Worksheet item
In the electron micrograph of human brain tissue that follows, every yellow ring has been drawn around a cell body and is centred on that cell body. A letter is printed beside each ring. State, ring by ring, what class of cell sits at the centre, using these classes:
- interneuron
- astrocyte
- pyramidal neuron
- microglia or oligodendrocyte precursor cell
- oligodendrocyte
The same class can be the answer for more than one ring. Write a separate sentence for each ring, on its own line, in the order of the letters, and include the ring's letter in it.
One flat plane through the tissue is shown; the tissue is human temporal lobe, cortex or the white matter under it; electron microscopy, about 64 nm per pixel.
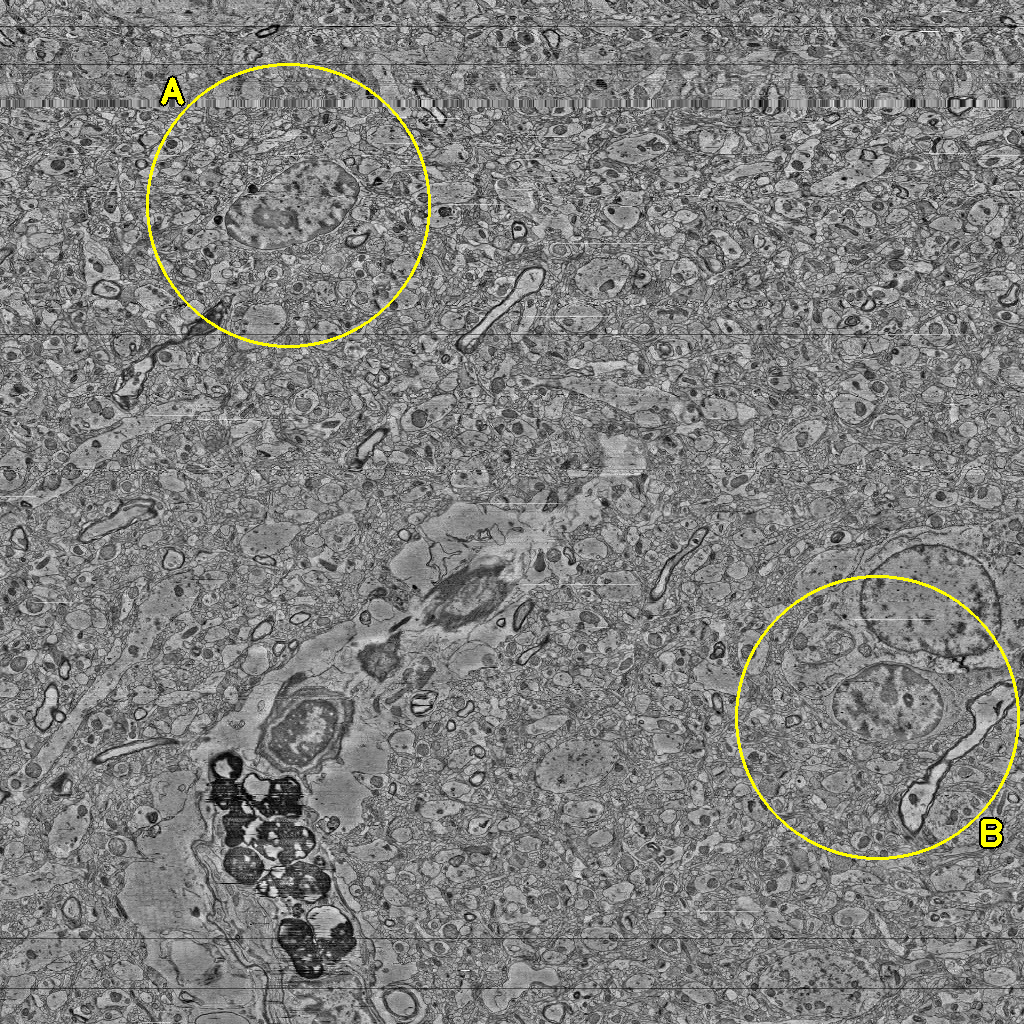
At the centre of ring A sits a microglial cell or oligodendrocyte precursor cell.
At the centre of ring B sits an oligodendrocyte.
